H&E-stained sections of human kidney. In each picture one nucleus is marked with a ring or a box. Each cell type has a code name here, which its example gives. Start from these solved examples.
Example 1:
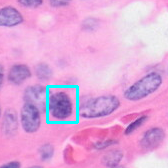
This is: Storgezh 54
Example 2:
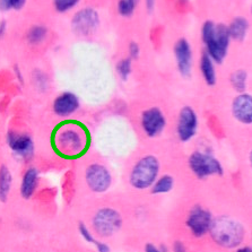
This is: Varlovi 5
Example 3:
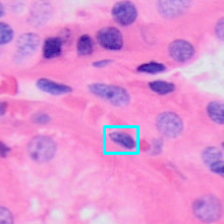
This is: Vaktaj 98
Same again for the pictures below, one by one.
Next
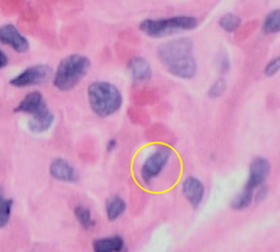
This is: Vaktaj 98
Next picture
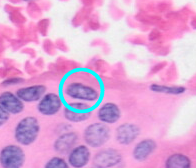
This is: Storgezh 54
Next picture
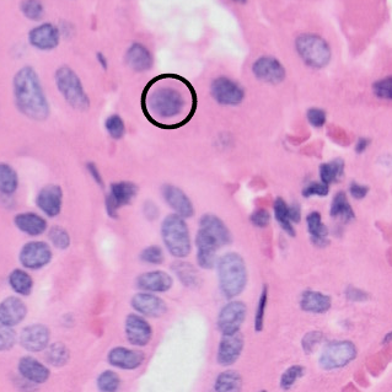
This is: Varlovi 5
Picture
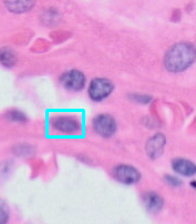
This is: Varlovi 5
